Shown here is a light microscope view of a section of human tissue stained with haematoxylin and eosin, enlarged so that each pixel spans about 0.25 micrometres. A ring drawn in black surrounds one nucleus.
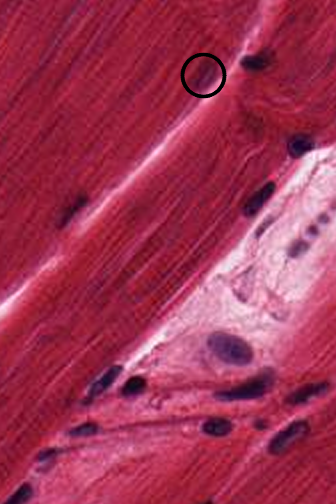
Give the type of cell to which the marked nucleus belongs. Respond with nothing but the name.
skeletal muscle fibre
